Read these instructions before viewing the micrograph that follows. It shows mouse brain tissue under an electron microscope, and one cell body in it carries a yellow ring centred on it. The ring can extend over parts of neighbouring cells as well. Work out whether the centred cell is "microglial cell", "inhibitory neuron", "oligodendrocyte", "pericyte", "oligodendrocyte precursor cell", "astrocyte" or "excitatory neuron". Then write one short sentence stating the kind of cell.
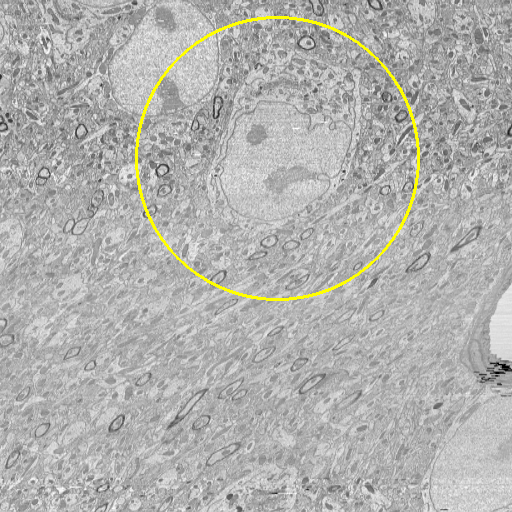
The ringed cell is an inhibitory neuron.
